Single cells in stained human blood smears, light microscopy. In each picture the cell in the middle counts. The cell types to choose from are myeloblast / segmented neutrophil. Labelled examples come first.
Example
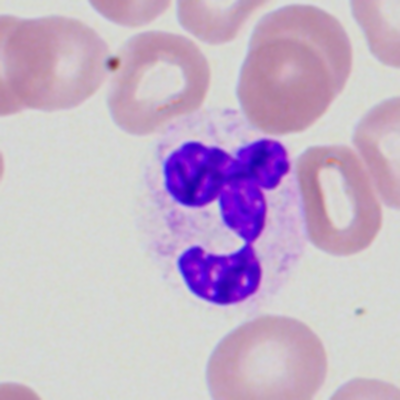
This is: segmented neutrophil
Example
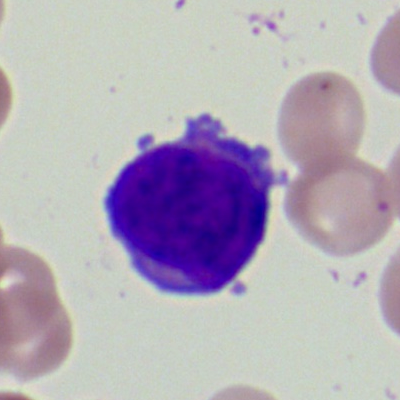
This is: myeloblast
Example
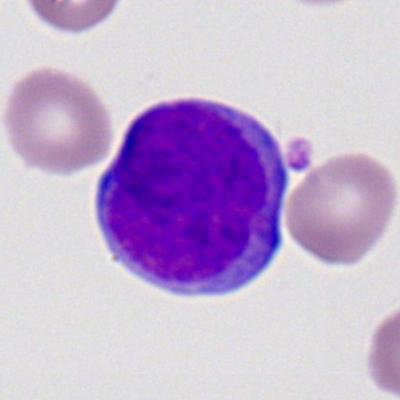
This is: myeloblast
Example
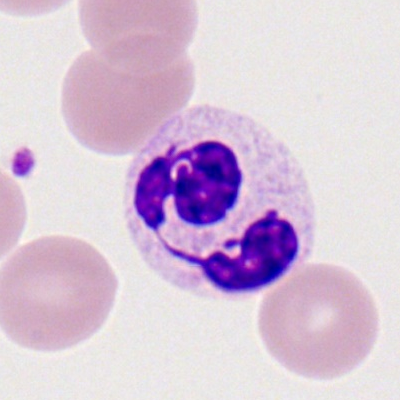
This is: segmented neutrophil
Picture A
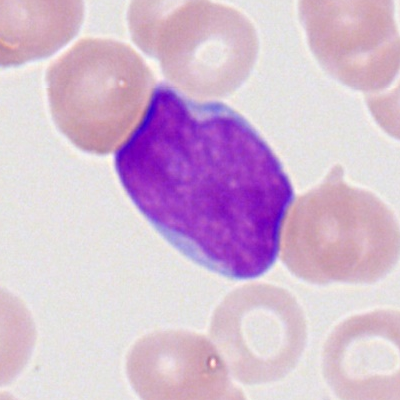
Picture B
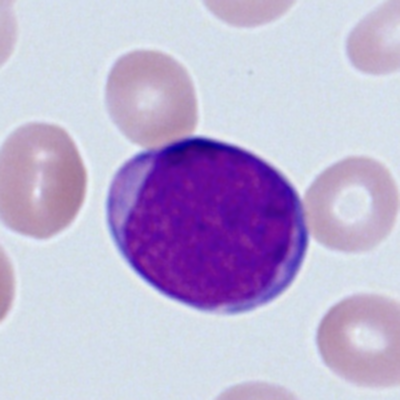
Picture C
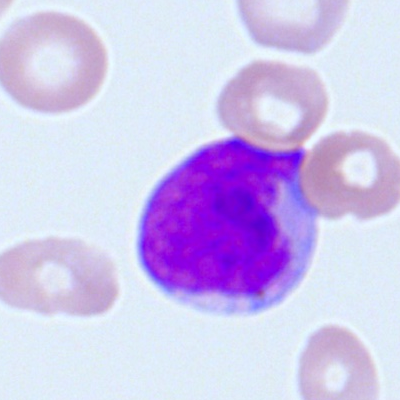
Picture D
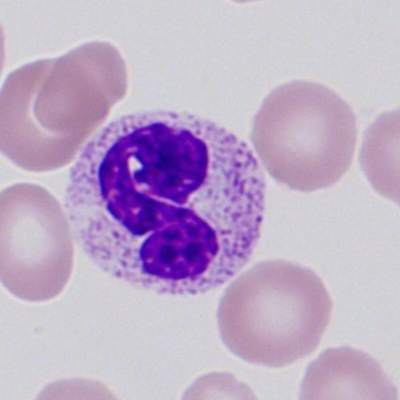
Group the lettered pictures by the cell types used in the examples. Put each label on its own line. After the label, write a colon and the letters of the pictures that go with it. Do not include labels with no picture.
myeloblast: A, B, C
segmented neutrophil: D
